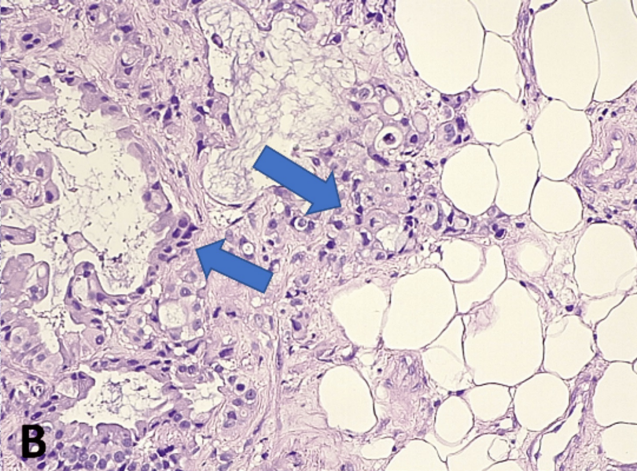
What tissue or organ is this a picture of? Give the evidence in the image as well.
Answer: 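Large empty polygonal cells with thin walls fill the right side. Tumor cells infiltrate between and beside these fat cells.
Adipose tissue.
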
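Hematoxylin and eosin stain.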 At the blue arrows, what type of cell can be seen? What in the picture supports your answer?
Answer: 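Neoplastic signet-ring cells. Rounded cells with cytoplasmic vacuoles and nuclei pushed to one side. Atypical cells cluster next to fat cells.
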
